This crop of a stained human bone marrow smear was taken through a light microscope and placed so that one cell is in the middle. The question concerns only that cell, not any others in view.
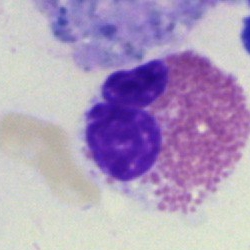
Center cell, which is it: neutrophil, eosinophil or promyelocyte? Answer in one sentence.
Here the centrally located cell is an eosinophil.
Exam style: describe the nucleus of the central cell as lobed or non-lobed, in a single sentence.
Kindly observe that the nucleus forms two or more lobes.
